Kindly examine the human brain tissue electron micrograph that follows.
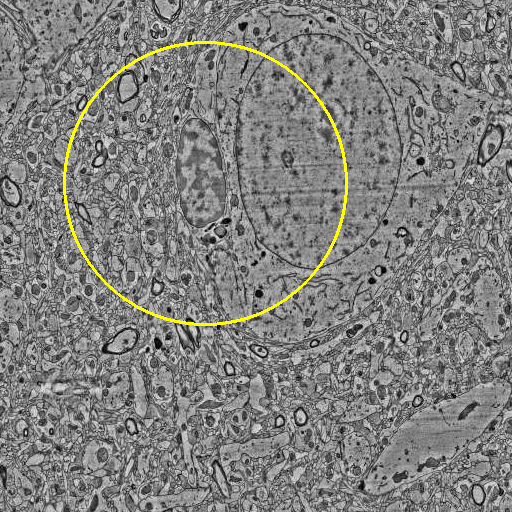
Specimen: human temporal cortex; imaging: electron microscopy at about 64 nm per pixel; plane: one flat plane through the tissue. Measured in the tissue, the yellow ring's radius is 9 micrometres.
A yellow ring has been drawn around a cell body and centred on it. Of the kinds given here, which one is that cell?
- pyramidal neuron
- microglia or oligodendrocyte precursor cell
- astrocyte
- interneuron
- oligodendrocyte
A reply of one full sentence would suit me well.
The micrograph's ringed cell, the one at the ring's centre, is a microglial cell or oligodendrocyte precursor cell.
